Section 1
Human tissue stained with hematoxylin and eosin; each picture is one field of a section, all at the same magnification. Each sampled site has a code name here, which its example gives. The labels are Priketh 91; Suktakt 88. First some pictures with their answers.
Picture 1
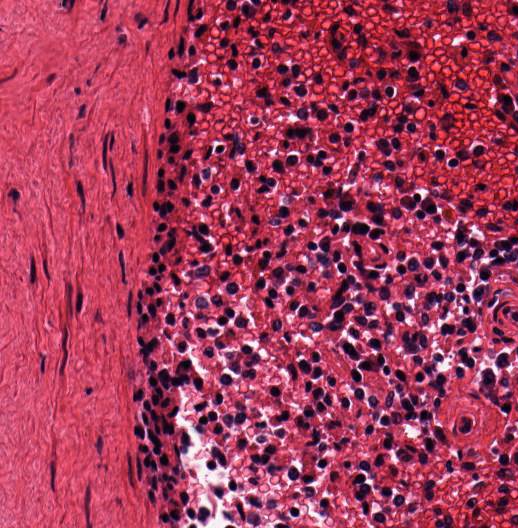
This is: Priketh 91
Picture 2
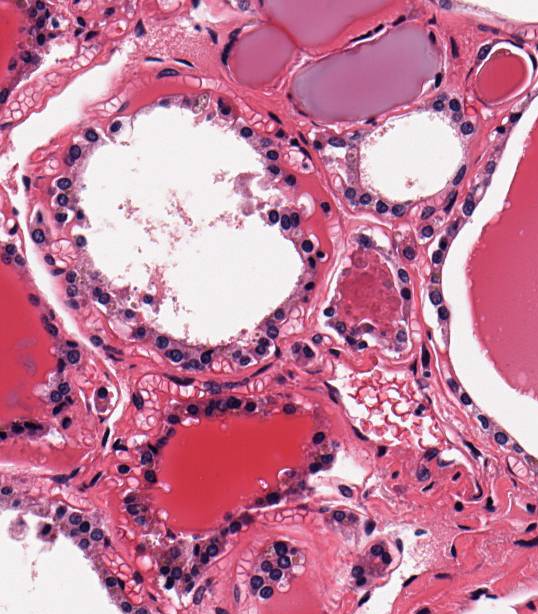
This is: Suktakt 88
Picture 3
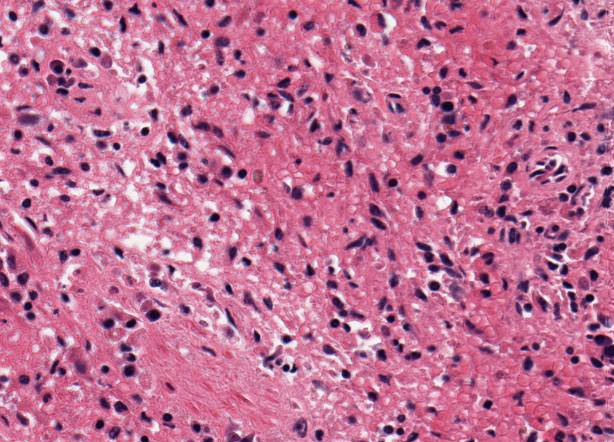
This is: Priketh 91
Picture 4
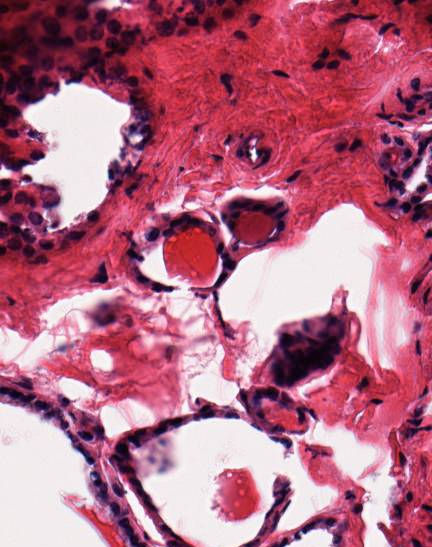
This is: Suktakt 88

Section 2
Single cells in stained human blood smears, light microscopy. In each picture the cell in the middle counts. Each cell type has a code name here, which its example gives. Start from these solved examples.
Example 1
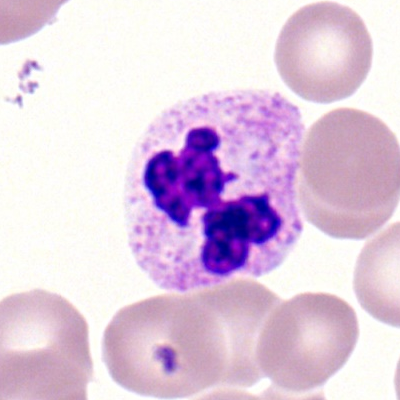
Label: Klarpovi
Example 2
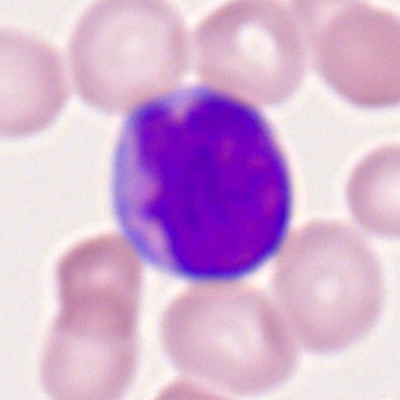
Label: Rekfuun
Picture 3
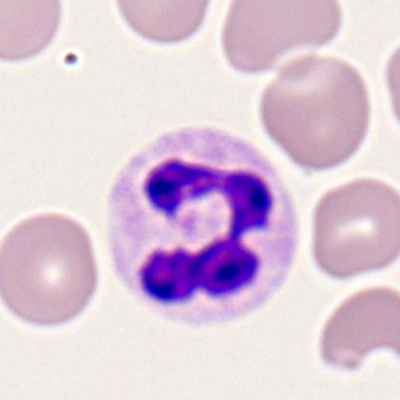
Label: Klarpovi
